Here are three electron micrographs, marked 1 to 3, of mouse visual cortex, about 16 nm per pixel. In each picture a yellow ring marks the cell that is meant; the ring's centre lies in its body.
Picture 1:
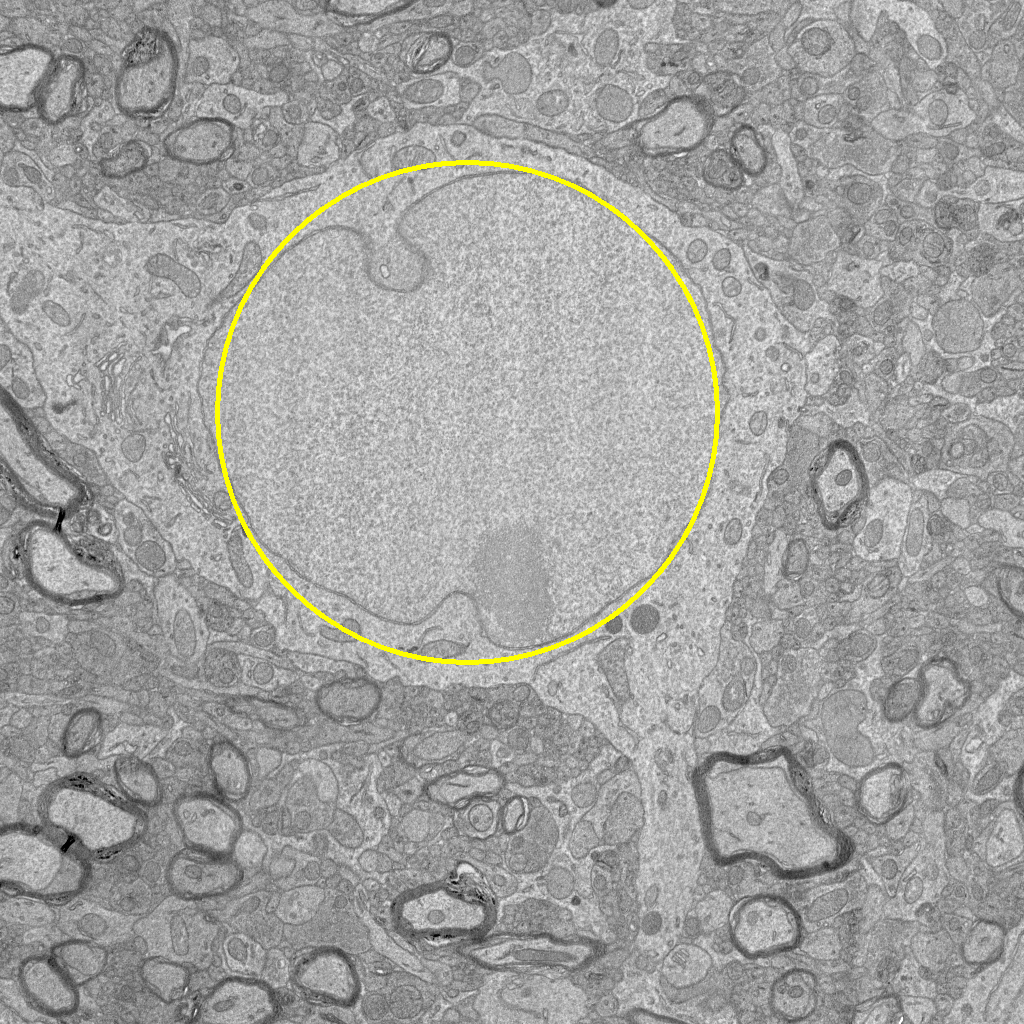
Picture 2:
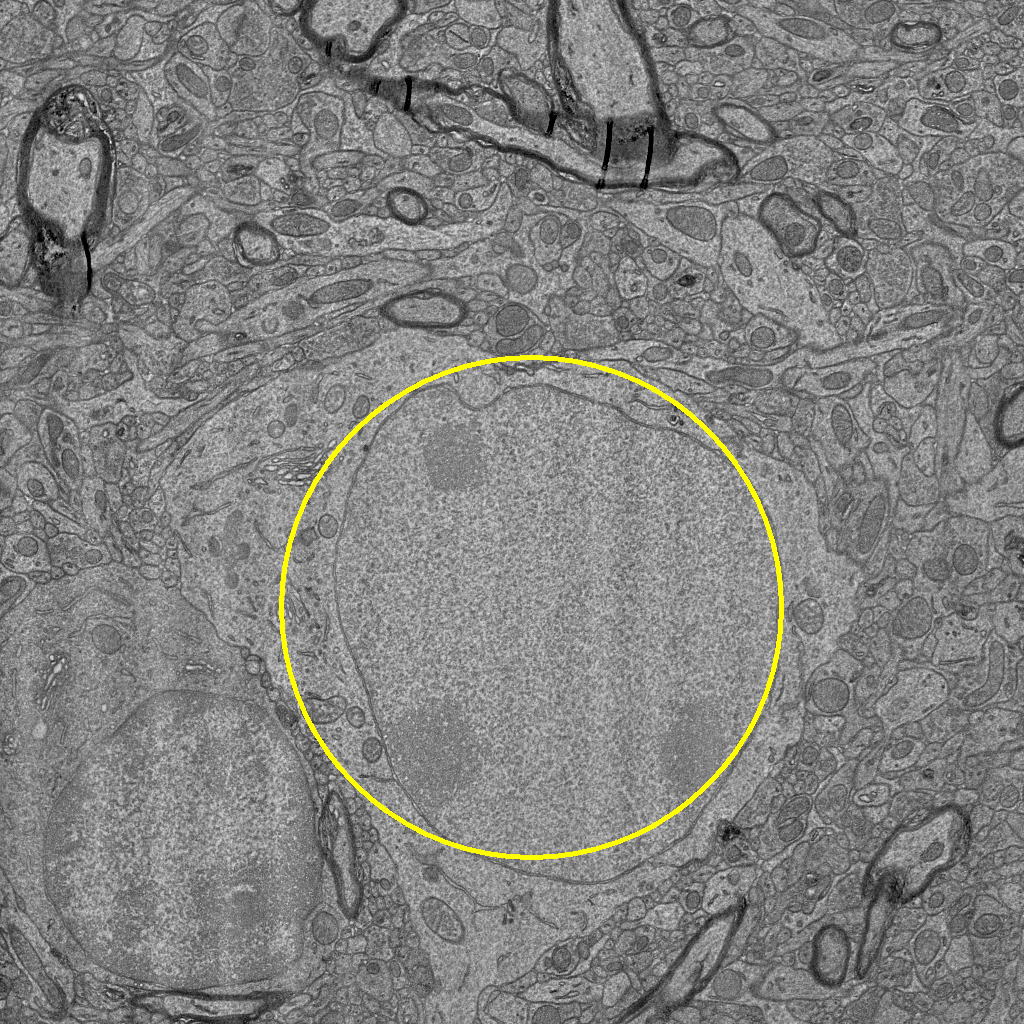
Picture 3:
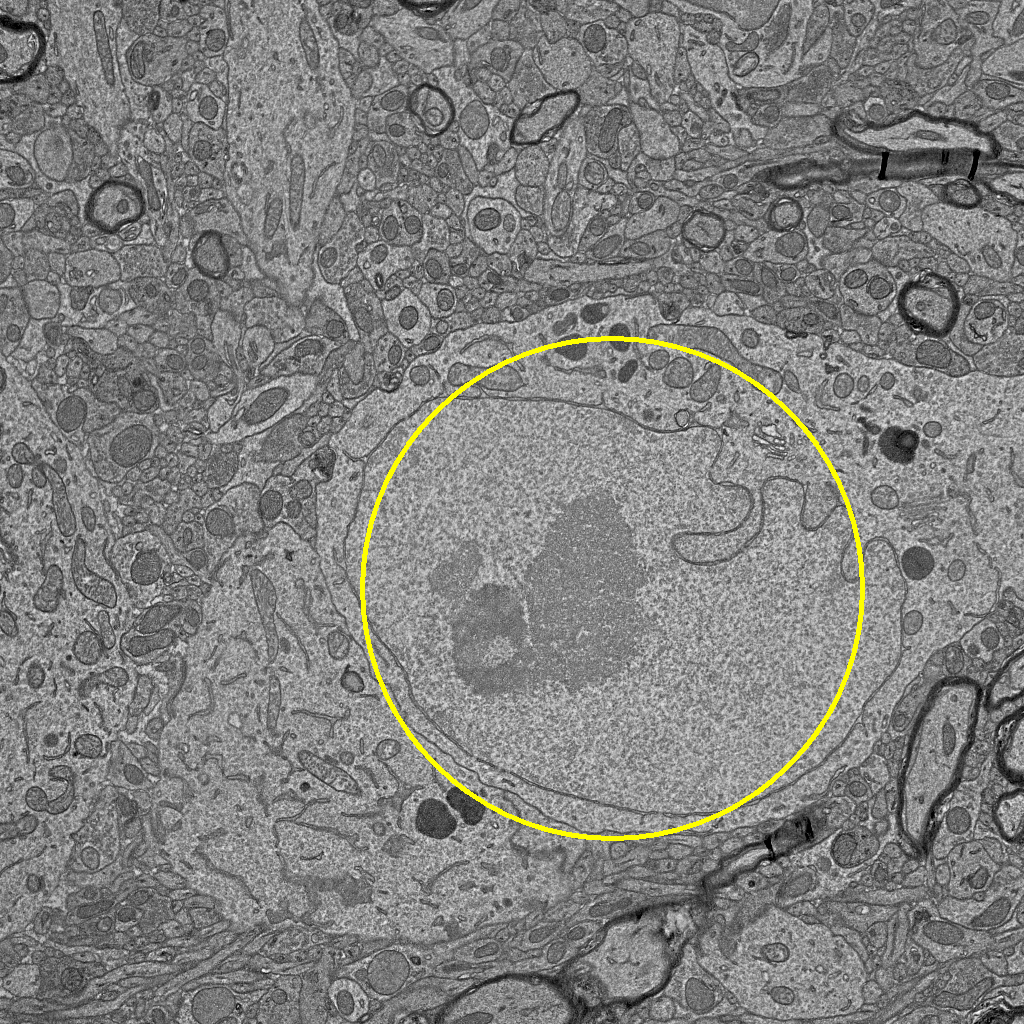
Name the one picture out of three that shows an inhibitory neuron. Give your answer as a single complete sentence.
Picture 3 shows the inhibitory neuron.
